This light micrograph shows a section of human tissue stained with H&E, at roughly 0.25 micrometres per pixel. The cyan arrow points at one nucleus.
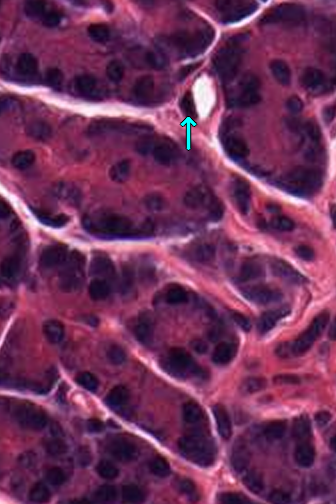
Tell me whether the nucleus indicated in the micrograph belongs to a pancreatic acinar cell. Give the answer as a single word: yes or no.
no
